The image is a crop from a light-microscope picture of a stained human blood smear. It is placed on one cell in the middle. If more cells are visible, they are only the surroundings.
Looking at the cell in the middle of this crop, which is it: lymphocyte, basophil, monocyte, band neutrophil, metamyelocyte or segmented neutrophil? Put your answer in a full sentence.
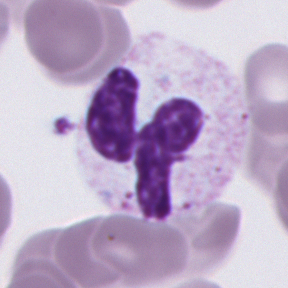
At the center of the crop sits a segmented neutrophil.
